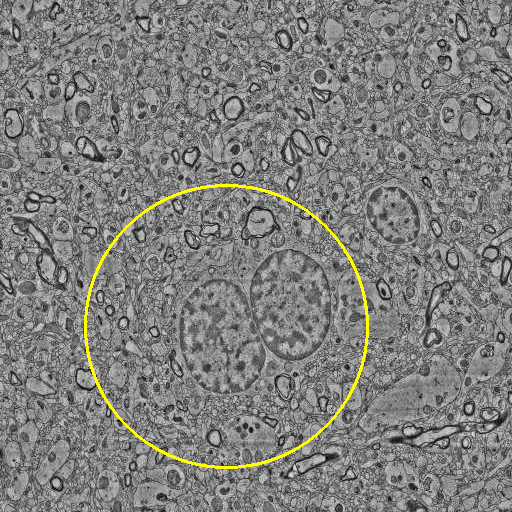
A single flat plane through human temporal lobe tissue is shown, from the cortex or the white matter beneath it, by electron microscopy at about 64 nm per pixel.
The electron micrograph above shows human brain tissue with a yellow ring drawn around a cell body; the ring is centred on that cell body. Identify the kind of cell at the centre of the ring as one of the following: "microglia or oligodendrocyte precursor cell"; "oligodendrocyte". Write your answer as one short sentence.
The cell at the centre of the ring is an oligodendrocyte.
